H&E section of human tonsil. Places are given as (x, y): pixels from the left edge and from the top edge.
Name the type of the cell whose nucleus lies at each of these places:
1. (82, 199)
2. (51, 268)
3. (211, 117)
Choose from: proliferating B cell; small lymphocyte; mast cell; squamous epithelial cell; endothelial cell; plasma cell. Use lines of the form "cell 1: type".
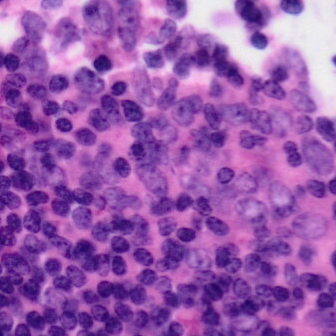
cell 1: small lymphocyte
cell 2: small lymphocyte
cell 3: proliferating B cell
